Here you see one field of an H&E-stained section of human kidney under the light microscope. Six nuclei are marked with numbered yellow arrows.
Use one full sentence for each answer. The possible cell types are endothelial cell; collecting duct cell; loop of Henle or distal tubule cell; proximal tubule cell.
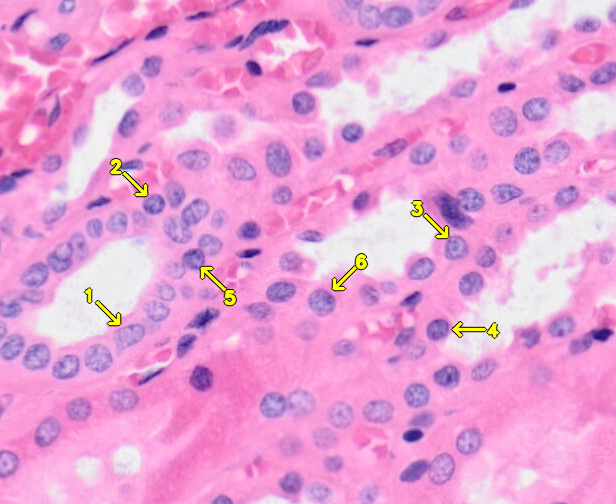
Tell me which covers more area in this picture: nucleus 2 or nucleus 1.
Number 1 is larger; its area is about 1.5 times that of number 2.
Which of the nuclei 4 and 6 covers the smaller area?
Nucleus 4 covers less area, with nucleus 6 about 1.5 times as large.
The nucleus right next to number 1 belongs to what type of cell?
The nucleus nearest to number 1 is that of a collecting duct cell.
